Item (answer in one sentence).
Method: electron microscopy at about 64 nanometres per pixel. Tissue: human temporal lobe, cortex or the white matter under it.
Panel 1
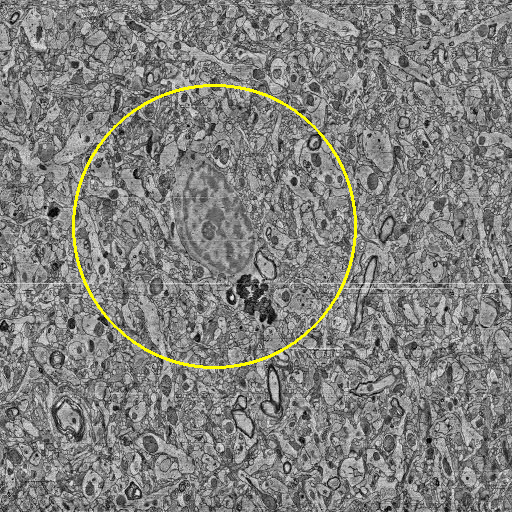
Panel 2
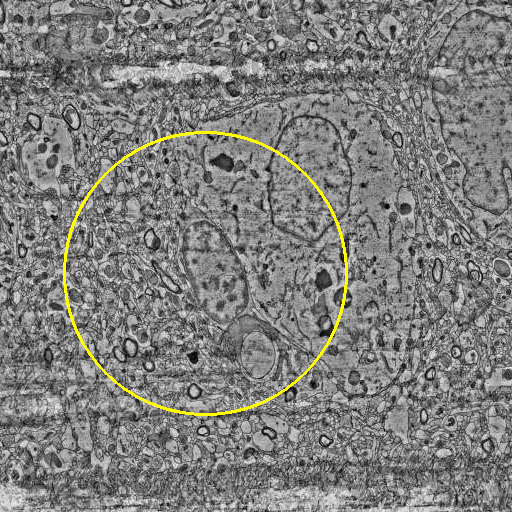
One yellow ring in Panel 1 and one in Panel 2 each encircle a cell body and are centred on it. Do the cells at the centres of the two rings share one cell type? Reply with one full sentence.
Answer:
Yes, Panel 1 and Panel 2 show cells of one type at the centres of their rings.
